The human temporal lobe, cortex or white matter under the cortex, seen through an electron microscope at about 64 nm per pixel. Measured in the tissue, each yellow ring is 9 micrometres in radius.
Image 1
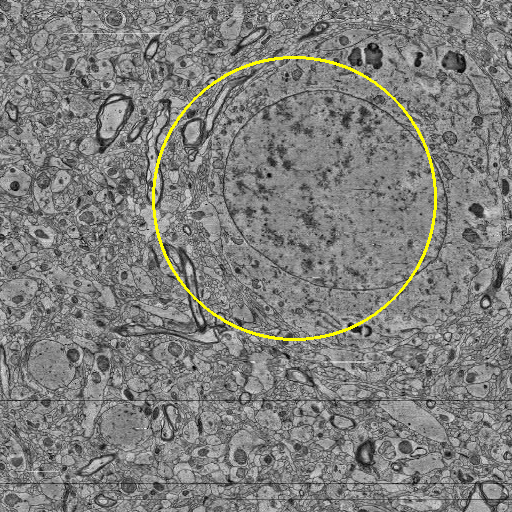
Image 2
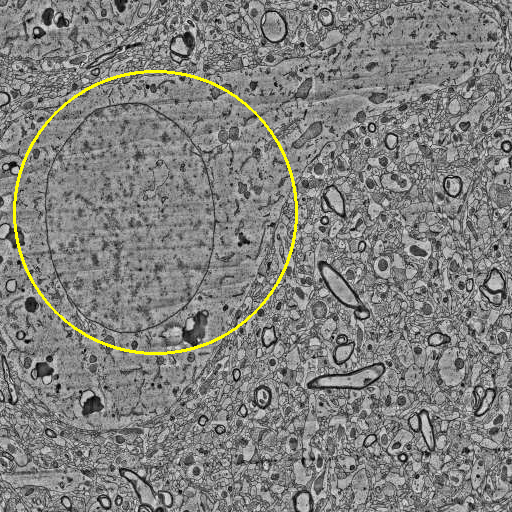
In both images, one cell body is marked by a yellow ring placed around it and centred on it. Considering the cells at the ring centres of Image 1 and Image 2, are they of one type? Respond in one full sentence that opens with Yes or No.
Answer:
Yes, a single type applies to the ring-centred cells of both Image 1 and Image 2.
